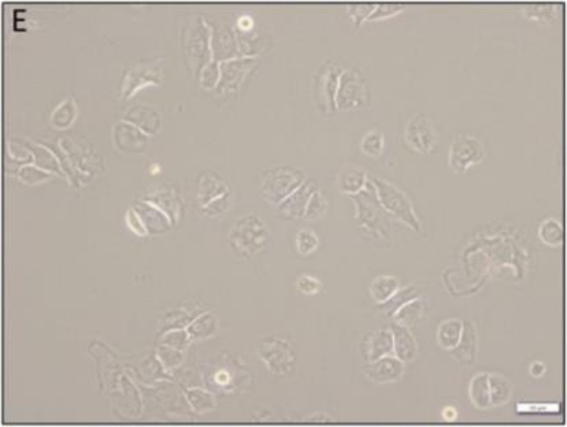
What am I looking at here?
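In many cells a rounded nucleus can be made out in the middle of a pale, finely granular cytoplasm. Few cells send out long processes, so the overall look is compact rather than spindle-shaped. A handful of bright, refractile round bodies are cells that have rounded up or lifted off the surface.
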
